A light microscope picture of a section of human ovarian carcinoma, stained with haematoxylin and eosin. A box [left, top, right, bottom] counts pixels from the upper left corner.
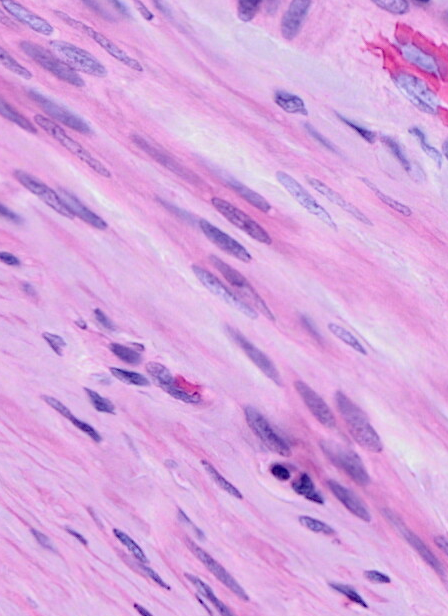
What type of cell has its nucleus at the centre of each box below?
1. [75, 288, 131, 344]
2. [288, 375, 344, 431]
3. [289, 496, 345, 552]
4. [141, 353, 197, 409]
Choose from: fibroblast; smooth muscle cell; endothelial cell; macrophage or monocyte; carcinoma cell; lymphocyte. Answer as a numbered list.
1. smooth muscle cell
2. smooth muscle cell
3. smooth muscle cell
4. endothelial cell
